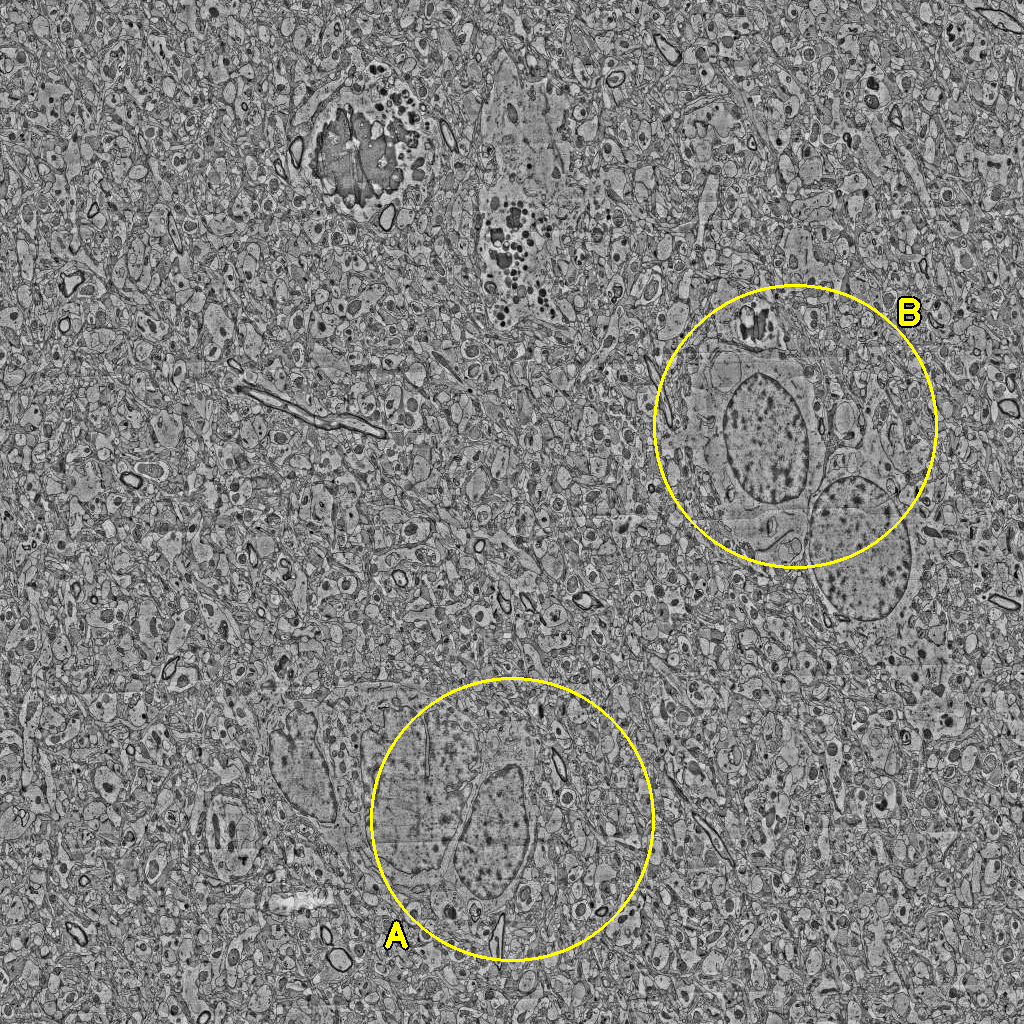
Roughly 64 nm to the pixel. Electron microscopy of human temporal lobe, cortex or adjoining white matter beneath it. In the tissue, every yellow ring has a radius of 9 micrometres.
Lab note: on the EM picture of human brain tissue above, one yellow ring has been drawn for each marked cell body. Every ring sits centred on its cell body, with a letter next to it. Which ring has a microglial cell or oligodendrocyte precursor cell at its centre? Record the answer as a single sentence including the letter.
Noted: the cell in question is at the centre of ring A.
